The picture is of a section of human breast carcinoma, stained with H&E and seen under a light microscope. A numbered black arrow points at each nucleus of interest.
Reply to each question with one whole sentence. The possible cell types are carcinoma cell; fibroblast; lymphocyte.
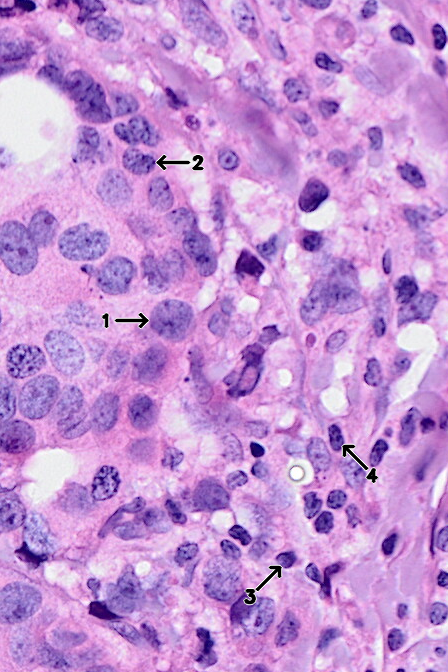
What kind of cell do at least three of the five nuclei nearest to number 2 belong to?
Carcinoma cells make up most of the five nuclei closest to number 2.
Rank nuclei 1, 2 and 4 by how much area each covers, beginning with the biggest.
From largest to smallest, the order is 1, 2, 4.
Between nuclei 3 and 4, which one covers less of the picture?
Nucleus 3 is the smaller one; nucleus 4 covers about 1.5 times its area.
